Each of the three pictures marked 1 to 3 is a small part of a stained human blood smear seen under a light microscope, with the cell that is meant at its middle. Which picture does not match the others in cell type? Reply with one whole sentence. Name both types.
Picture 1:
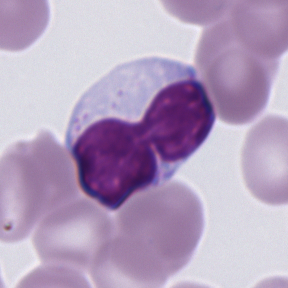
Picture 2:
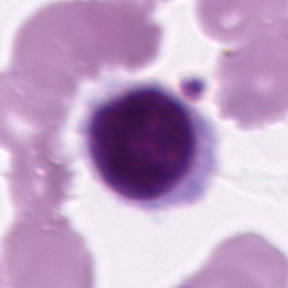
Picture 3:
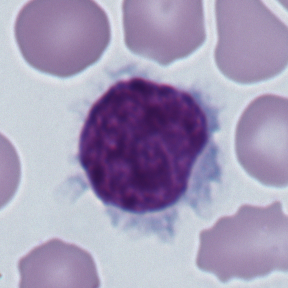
The others show hairy cells, but picture 1 shows a large granular lymphocyte.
